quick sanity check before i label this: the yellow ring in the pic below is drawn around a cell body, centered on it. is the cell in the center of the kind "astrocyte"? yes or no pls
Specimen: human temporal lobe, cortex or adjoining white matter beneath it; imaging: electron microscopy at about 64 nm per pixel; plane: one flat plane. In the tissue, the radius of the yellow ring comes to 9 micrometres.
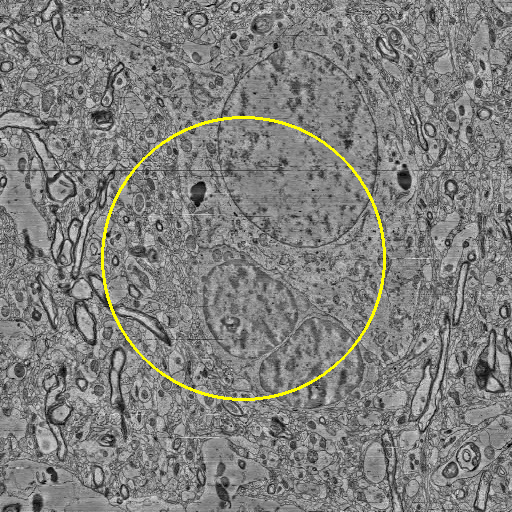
no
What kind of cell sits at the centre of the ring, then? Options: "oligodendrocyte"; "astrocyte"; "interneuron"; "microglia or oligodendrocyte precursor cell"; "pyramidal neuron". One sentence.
As it turns out, the cell at the ring centre is an oligodendrocyte.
